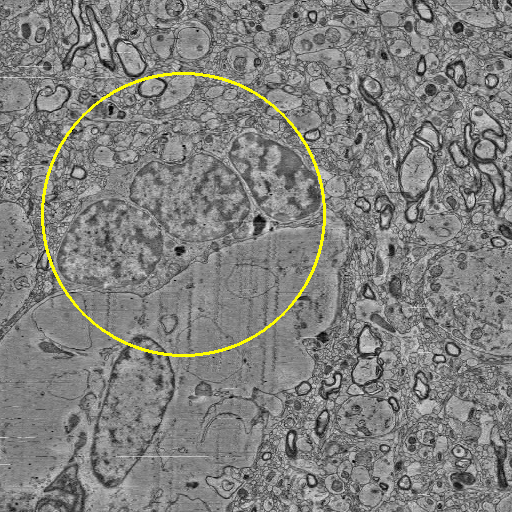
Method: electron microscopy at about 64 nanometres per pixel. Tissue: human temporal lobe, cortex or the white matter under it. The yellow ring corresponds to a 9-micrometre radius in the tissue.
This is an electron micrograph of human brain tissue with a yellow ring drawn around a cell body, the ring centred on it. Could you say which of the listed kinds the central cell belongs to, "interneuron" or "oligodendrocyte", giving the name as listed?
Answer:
oligodendrocyte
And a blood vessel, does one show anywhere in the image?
Yes, a blood vessel can be seen.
